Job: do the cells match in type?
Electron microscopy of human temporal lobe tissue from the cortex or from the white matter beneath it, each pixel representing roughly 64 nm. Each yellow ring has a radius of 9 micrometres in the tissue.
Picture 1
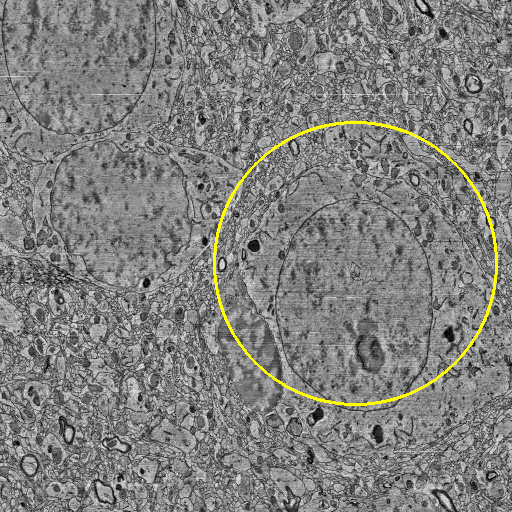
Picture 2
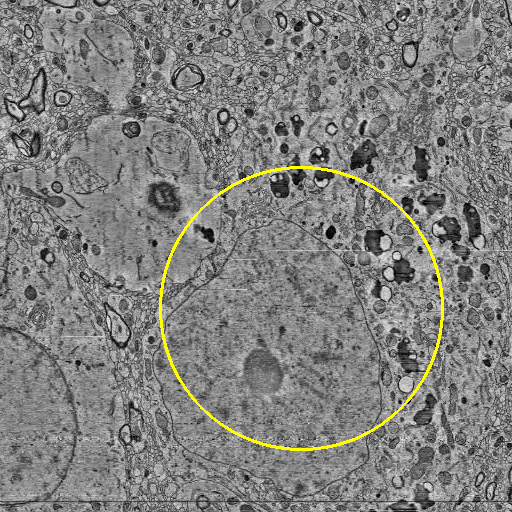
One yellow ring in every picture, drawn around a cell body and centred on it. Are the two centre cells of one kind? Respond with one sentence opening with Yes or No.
Yes, the ringed cells in the two pictures are of one and the same kind.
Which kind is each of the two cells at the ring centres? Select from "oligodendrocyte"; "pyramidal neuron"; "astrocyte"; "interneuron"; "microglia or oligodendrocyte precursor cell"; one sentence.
The ring centre holds a pyramidal neuron in each of the two pictures.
